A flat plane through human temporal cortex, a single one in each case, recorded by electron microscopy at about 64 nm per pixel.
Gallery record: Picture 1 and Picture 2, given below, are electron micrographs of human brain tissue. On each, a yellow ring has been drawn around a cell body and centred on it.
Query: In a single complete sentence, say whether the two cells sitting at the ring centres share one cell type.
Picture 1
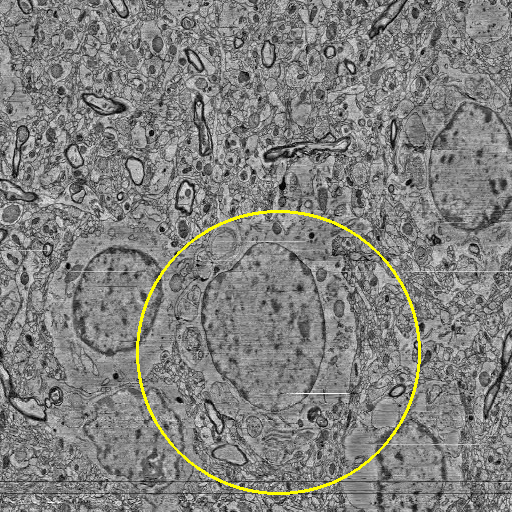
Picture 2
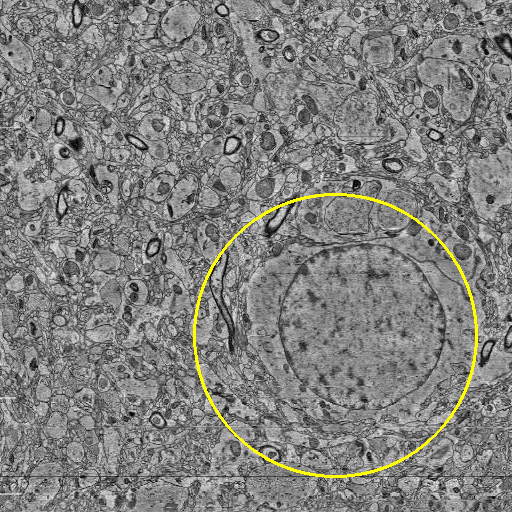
Yes, in both pictures the cell at the ring's centre is of one and the same type.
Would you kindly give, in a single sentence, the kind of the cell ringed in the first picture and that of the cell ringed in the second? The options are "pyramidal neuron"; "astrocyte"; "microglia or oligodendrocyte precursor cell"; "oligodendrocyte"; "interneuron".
Each cell at the centre of a ring is an astrocyte.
